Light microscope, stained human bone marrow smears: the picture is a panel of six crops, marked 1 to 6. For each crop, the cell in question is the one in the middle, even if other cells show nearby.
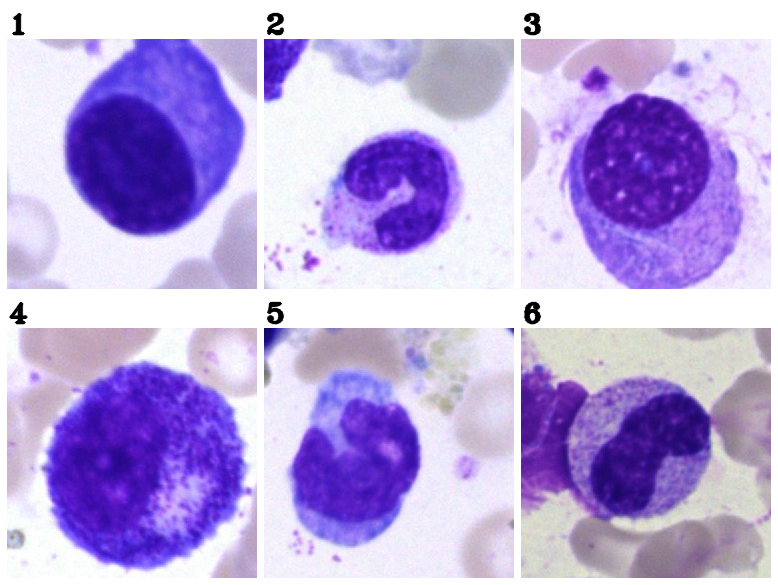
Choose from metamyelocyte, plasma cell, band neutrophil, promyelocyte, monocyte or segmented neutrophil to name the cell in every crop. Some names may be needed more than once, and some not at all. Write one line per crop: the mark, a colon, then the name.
1: plasma cell
2: band neutrophil
3: plasma cell
4: promyelocyte
5: monocyte
6: band neutrophil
